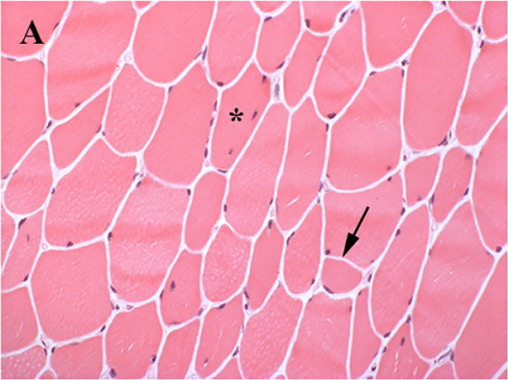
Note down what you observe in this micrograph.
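This cross-section of skeletal muscle shows closely packed polygonal to rounded pink fibers separated by thin pale lines. Fiber size varies, with some small fibers among larger ones. Most dark purple nuclei lie at the fiber edges, but occasional fibers carry a nucleus within their interior.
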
